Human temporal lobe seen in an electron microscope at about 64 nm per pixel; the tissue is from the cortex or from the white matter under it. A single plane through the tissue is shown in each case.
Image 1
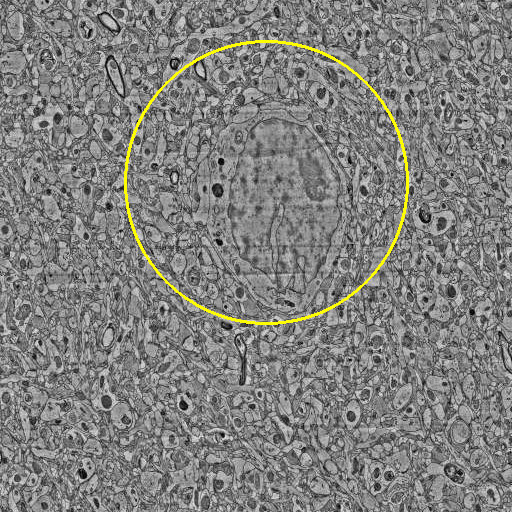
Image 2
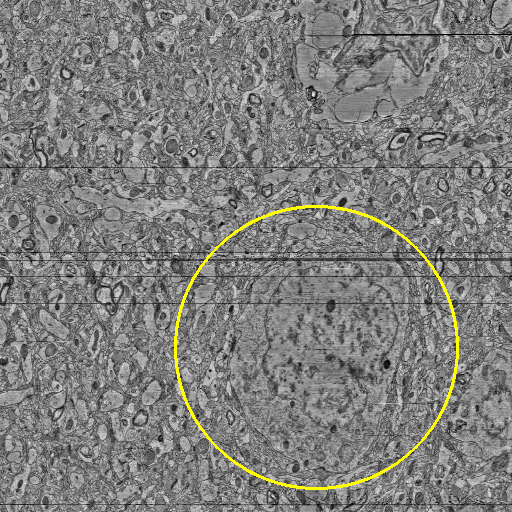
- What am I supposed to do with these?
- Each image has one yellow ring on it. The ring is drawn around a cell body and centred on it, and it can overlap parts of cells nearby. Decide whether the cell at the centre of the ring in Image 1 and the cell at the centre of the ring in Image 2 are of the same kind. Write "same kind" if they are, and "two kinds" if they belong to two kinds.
same kind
